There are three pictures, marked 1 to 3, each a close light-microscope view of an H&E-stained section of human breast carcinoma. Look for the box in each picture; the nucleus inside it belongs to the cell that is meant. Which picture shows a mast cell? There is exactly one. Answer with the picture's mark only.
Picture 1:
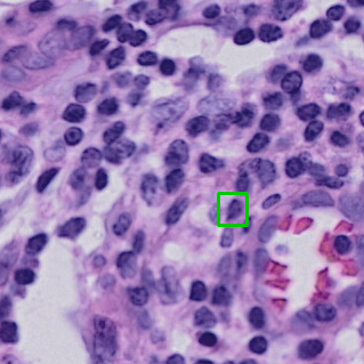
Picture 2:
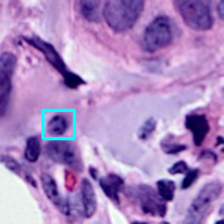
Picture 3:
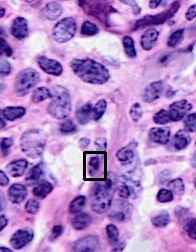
2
